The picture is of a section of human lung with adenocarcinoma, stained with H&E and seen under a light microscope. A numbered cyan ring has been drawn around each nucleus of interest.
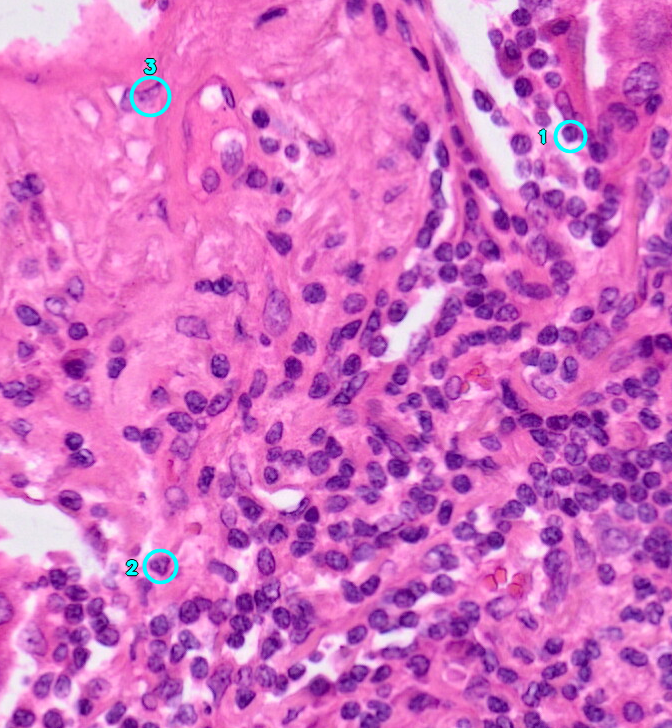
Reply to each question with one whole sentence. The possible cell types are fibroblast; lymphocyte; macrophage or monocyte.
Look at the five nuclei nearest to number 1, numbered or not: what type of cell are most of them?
Lymphocytes account for more than half of the five nuclei nearest to number 1.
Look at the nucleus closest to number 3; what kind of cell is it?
It is a fibroblast whose nucleus is nearest to number 3.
